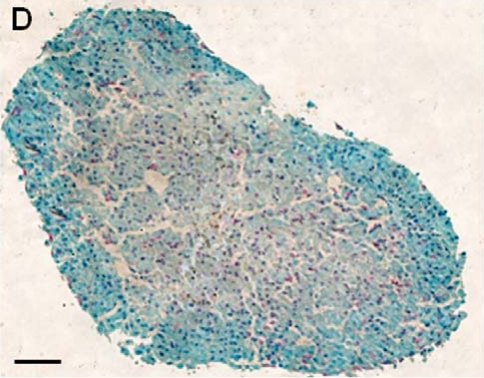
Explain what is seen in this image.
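Cells are crowded most densely along the rim, where the blue stain is strongest. Toward the centre the tissue is paler and looser, with scattered pinkish-red nuclei and small clefts between the cells. The whole mass stands alone on a clear background with a slightly ragged edge.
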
